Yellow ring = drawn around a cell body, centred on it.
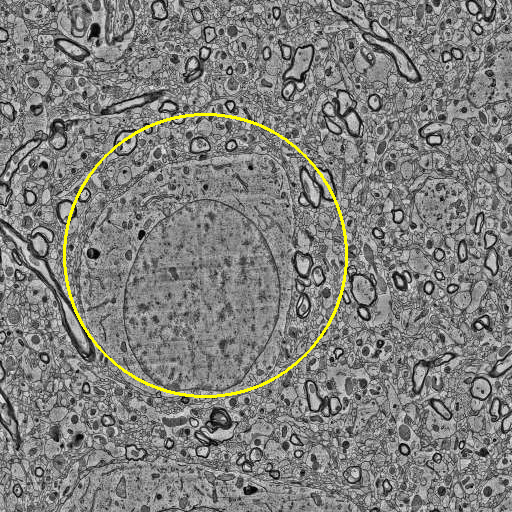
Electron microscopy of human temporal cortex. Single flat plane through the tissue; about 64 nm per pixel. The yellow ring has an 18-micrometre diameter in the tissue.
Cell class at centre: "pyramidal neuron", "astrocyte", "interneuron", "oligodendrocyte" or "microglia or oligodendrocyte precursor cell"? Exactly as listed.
pyramidal neuron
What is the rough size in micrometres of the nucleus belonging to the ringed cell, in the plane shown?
About 12 by 10 micrometers for the nucleus, in this plane.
